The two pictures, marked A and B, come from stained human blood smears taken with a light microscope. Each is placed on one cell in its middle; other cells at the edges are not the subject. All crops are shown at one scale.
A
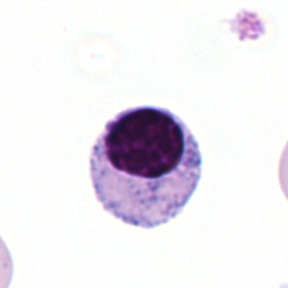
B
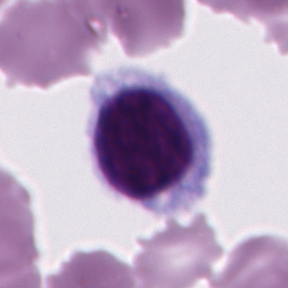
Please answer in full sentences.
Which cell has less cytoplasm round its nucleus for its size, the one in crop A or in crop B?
In crop B the nucleus takes up the larger part of its cell.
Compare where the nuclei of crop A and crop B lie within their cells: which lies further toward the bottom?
The nucleus in crop B lies further toward the bottom of its cell.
